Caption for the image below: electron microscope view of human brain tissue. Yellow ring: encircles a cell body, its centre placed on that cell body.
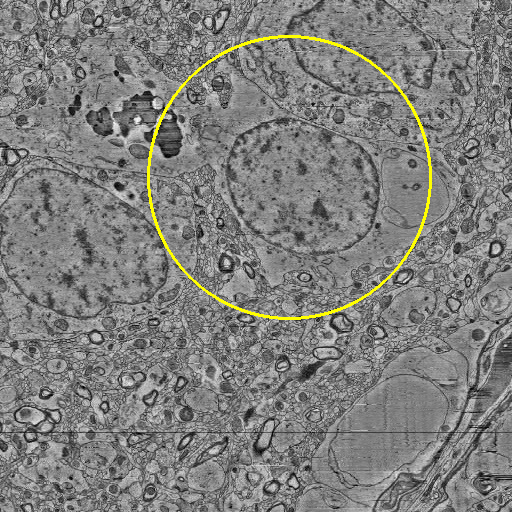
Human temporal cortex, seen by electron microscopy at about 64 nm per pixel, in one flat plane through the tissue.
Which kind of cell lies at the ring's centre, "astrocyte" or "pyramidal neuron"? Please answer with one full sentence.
The picture shows an astrocyte at the centre of the yellow ring.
